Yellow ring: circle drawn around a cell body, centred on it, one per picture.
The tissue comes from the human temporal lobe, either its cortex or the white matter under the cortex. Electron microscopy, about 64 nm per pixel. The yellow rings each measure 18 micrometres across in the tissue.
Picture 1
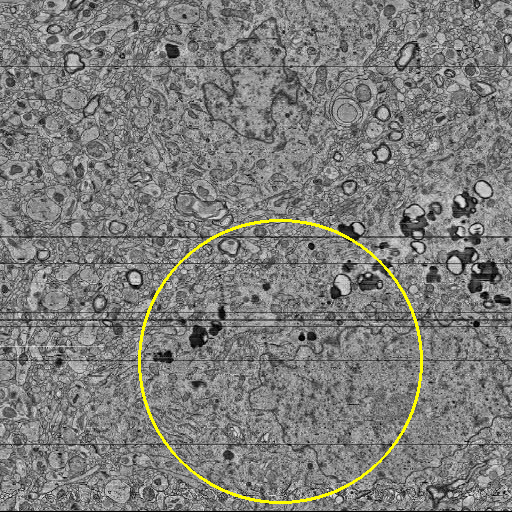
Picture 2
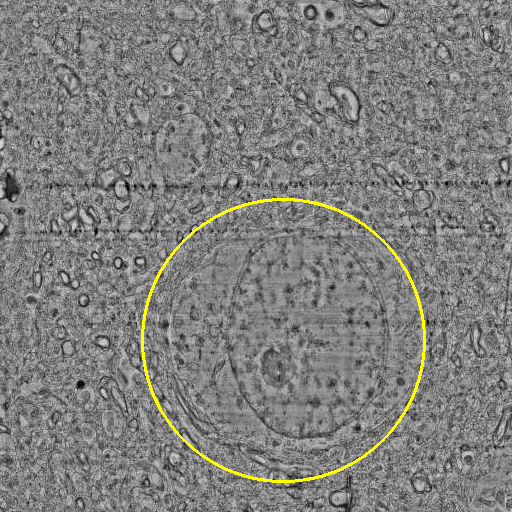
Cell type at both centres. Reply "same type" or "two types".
same type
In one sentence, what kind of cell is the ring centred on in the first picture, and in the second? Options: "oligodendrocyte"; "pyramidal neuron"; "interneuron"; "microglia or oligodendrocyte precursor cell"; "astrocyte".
Each of the two rings surrounds a pyramidal neuron.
